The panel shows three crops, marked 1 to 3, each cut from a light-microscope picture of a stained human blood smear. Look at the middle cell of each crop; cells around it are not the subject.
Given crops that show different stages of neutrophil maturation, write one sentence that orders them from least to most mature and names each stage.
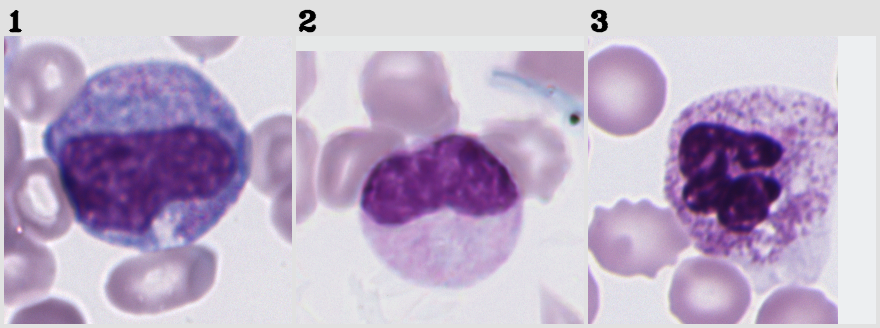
What results from ordering by maturity, least to most, is crop 1 (a promyelocyte), crop 2 (a metamyelocyte) and crop 3 (a segmented neutrophil).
